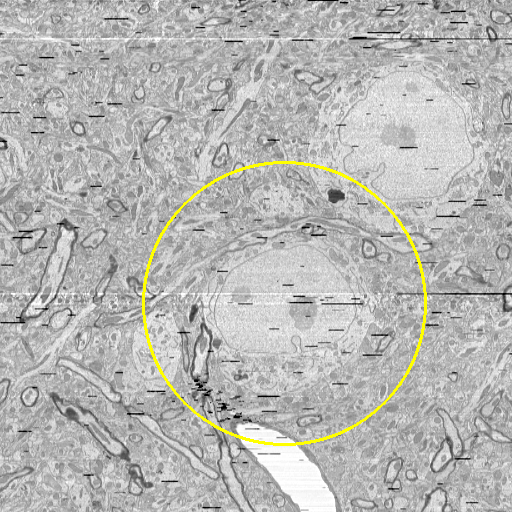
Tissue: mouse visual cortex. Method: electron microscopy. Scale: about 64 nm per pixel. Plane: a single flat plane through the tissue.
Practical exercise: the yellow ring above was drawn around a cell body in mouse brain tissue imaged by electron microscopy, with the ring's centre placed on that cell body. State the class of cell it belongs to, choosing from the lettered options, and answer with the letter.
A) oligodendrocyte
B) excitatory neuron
B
